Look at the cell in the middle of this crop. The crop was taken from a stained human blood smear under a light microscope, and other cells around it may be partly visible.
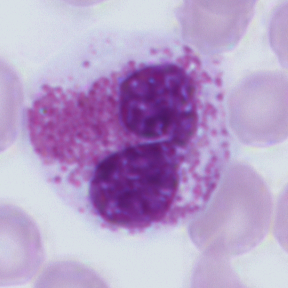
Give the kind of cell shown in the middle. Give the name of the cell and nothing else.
eosinophil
